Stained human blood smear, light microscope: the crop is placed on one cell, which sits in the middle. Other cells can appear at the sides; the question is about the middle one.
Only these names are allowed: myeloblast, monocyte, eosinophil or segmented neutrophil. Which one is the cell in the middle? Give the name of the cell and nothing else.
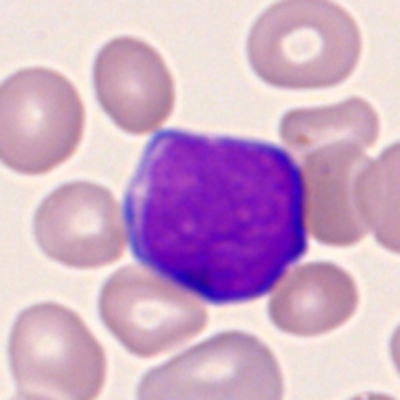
myeloblast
